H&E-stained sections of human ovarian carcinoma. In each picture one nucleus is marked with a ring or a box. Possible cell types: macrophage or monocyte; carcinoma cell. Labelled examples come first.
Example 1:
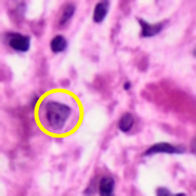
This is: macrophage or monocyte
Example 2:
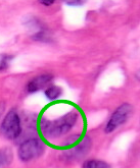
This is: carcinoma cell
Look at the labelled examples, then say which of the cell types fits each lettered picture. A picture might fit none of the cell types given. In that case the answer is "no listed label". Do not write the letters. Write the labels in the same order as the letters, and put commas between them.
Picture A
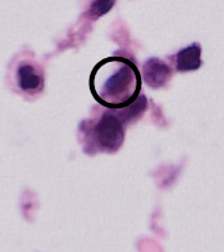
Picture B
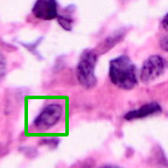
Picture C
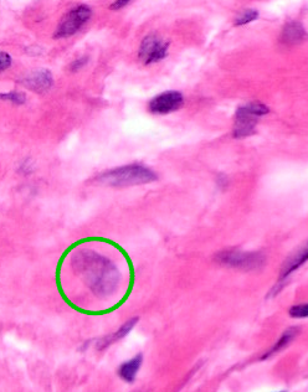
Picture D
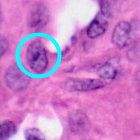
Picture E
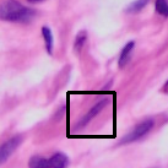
carcinoma cell, macrophage or monocyte, no listed label, macrophage or monocyte, no listed label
